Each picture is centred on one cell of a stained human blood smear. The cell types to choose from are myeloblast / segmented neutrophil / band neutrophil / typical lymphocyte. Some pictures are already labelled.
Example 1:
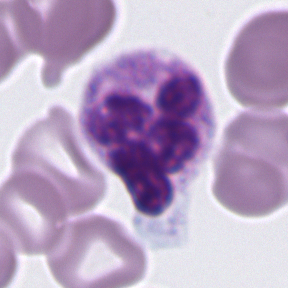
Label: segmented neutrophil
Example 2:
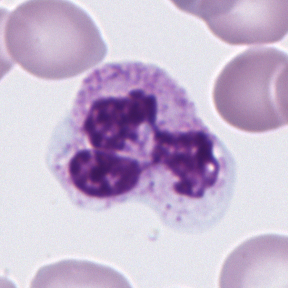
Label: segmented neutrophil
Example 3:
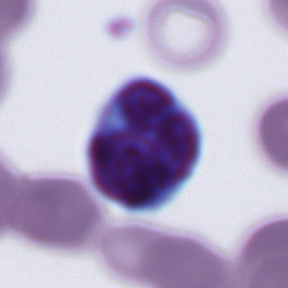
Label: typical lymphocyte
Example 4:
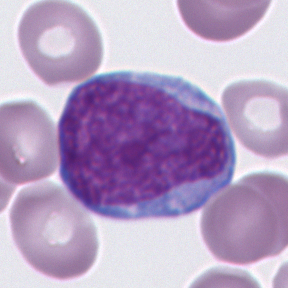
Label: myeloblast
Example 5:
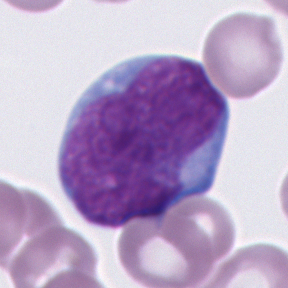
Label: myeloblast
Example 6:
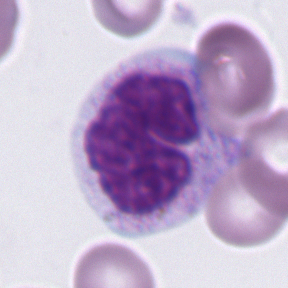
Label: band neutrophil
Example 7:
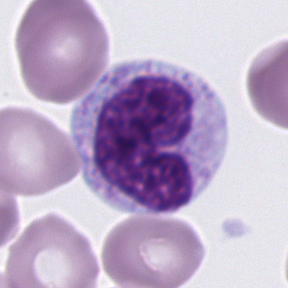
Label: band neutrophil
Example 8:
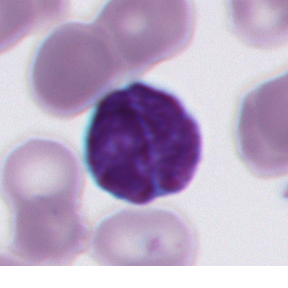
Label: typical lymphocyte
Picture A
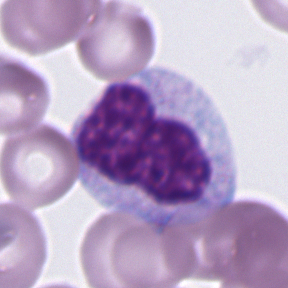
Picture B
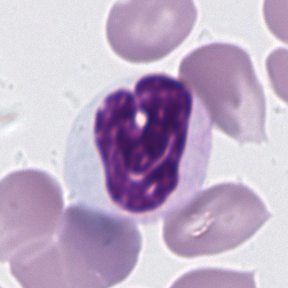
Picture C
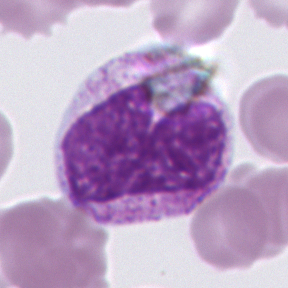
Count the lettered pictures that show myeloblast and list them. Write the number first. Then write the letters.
0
